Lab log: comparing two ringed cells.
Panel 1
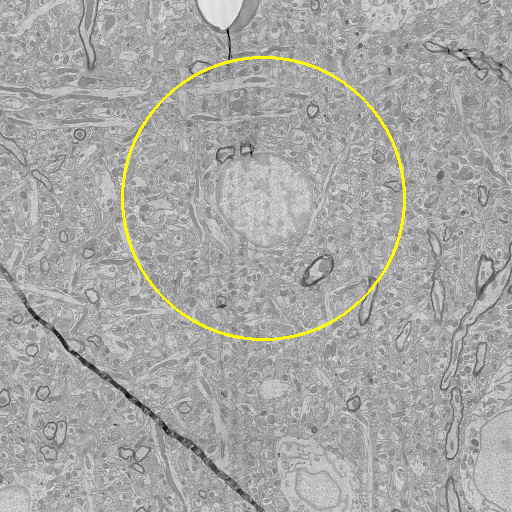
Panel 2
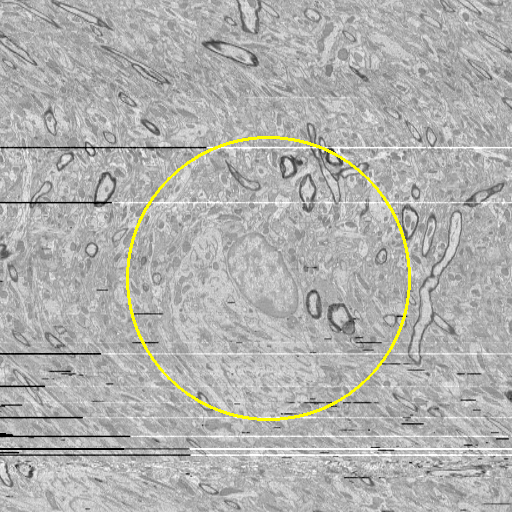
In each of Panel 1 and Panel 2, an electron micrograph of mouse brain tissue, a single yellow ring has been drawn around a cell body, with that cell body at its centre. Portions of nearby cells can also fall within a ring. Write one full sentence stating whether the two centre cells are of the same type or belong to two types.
The cells at the ring centres in Panel 1 and Panel 2 are of the same type.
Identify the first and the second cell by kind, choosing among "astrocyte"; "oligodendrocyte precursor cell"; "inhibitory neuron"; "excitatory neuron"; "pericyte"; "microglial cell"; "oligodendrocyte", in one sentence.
Both cells are the same kind, each one being an oligodendrocyte.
